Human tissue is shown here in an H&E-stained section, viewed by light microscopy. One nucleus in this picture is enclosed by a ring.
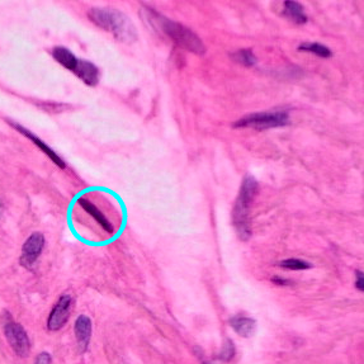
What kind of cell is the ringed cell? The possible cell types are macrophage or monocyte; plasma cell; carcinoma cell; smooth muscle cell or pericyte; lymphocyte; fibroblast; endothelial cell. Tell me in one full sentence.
In this preparation, the ringed cell is a smooth muscle cell or pericyte.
